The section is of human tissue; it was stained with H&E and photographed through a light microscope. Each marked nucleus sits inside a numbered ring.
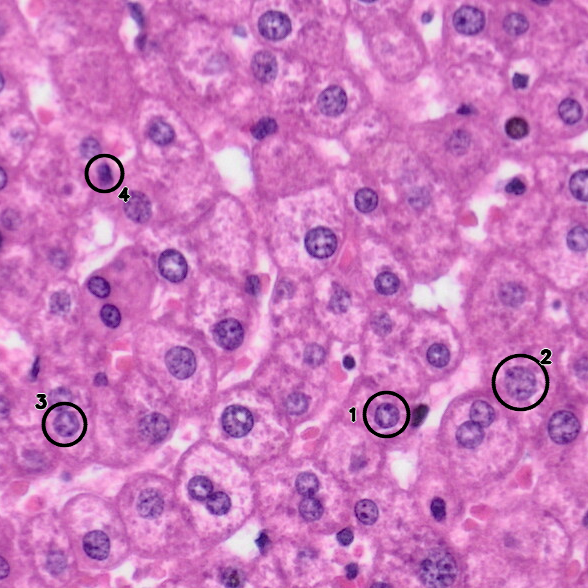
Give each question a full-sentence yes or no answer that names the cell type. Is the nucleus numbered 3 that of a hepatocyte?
Yes, the cell corresponding to number 3 is a hepatocyte.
